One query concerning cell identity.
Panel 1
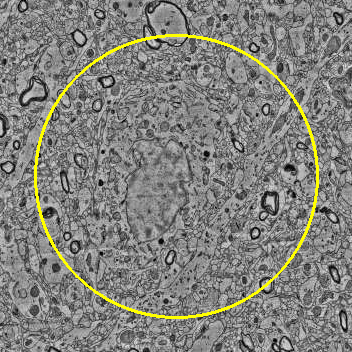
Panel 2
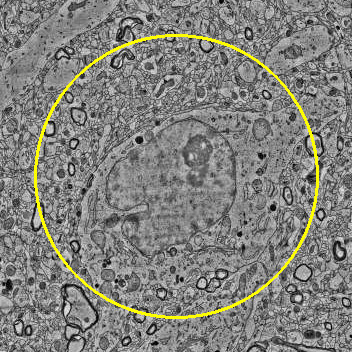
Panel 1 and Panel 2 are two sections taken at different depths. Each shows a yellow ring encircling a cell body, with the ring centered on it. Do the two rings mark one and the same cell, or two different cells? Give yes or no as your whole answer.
no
